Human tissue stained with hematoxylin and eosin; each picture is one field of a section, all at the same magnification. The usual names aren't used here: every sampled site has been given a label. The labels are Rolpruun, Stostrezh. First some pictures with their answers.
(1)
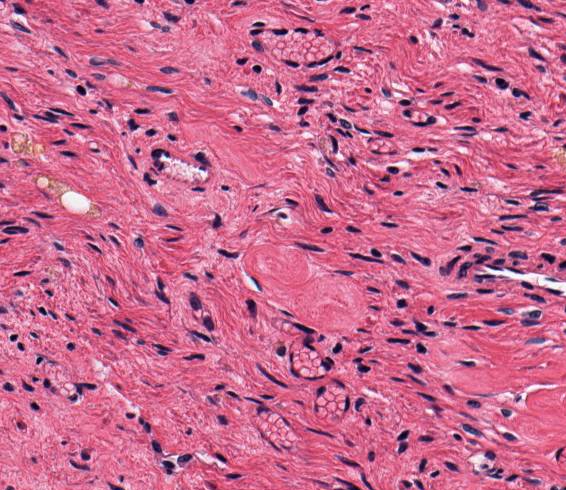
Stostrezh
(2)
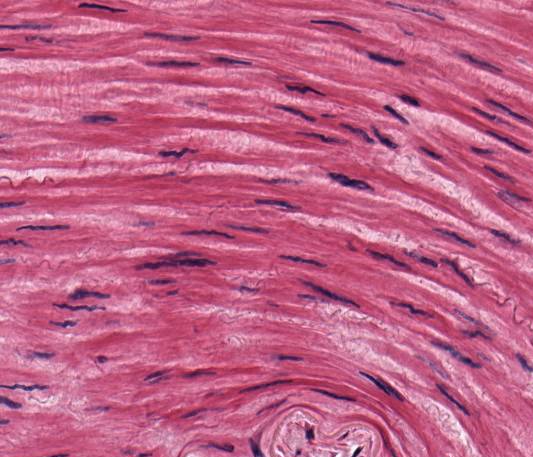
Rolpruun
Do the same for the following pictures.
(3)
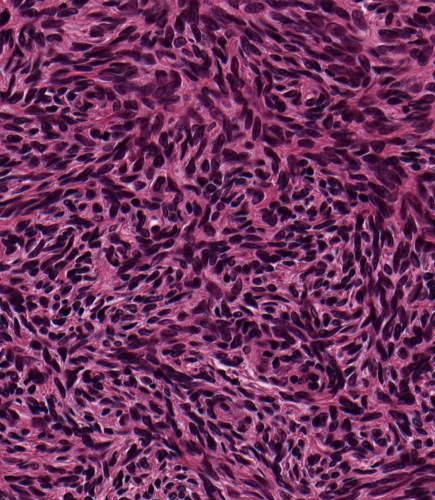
Stostrezh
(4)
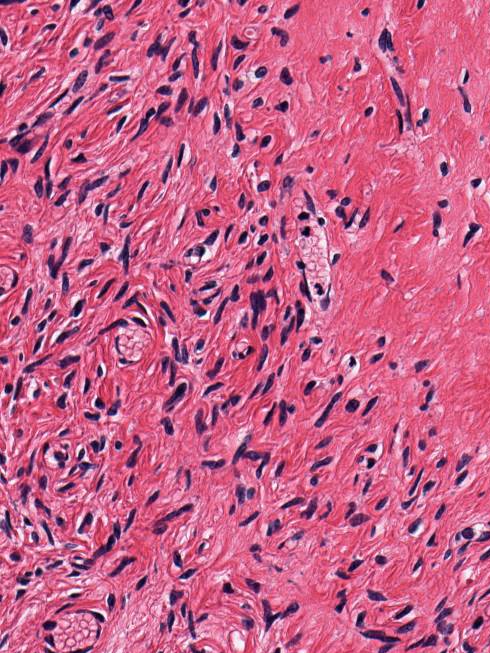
Stostrezh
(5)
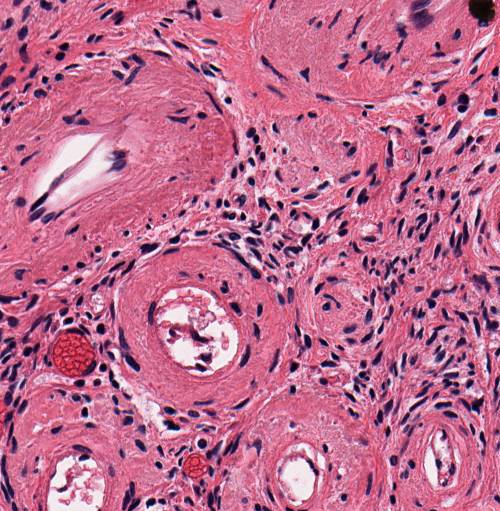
Stostrezh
